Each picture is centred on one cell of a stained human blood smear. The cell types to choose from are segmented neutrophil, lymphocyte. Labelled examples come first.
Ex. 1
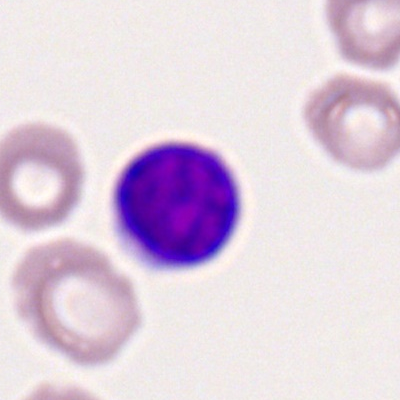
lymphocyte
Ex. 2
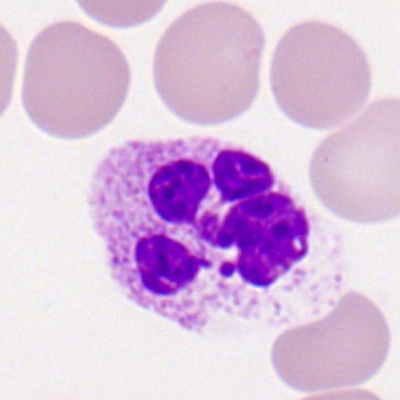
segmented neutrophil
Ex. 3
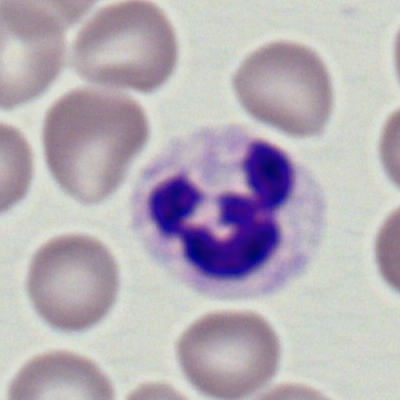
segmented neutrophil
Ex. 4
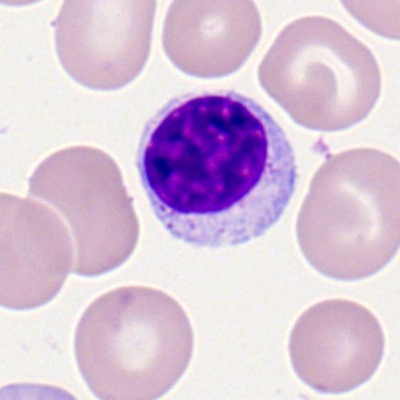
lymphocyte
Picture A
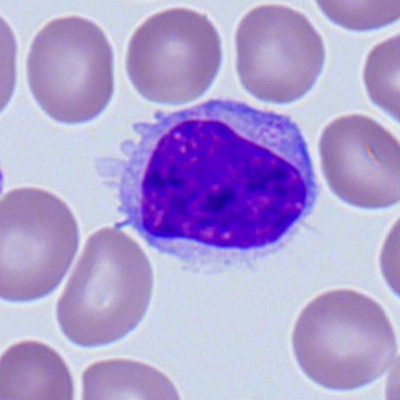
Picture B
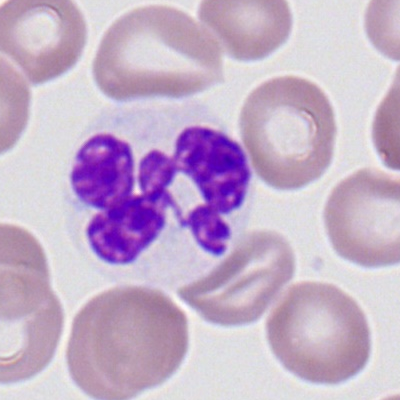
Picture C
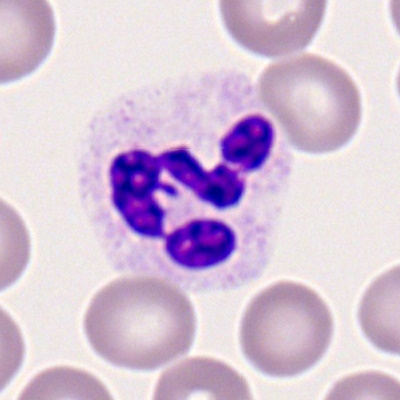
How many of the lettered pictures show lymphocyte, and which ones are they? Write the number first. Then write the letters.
1, namely A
